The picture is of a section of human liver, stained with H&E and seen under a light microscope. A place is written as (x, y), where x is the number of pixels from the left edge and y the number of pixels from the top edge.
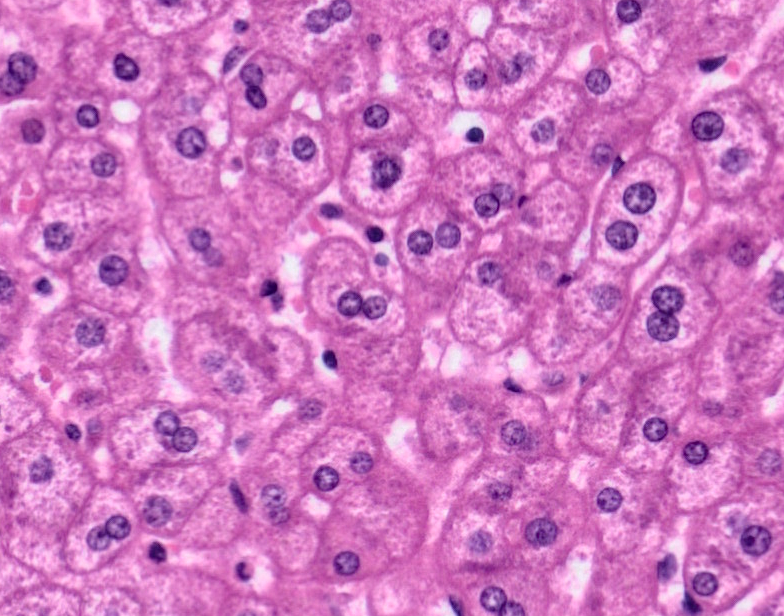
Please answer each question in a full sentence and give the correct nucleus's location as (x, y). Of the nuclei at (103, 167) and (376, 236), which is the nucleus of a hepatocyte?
Answering which nucleus it is: the one at (103, 167), belonging to a hepatocyte.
